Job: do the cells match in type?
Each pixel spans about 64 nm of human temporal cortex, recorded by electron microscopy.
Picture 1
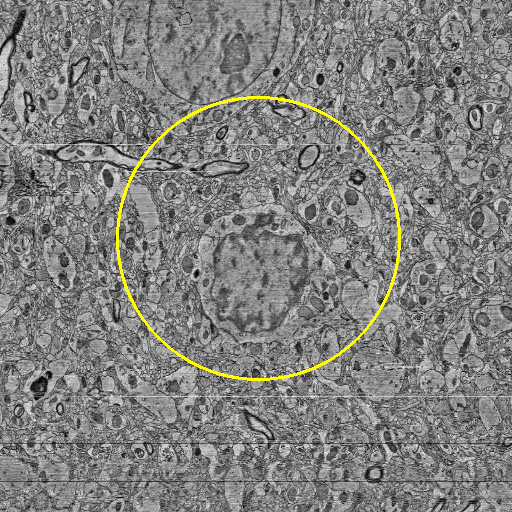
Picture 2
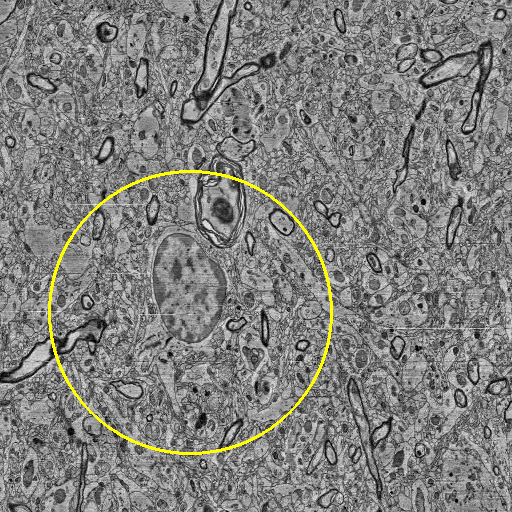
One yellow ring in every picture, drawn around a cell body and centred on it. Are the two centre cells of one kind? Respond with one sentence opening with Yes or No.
No, the ringed cells in the two pictures are of two separate kinds.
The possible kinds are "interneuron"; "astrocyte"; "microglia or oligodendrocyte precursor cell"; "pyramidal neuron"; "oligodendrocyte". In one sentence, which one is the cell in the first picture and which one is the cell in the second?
The cell ringed in the second picture is a microglial cell or oligodendrocyte precursor cell, whereas the one ringed in the first is an interneuron.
